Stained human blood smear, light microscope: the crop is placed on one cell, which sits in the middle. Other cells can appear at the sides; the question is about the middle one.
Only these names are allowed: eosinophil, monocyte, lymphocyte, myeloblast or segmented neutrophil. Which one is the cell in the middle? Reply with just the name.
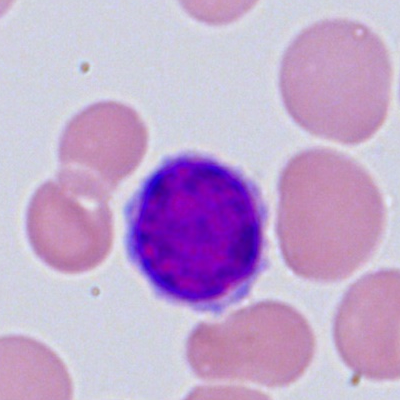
lymphocyte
